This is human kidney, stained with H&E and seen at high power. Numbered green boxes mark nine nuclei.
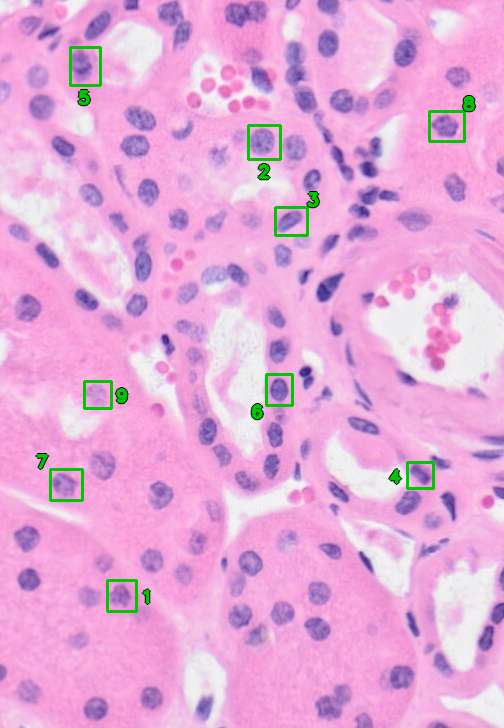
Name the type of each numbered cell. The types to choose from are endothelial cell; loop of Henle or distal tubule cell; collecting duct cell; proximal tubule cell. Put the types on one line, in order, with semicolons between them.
proximal tubule cell; collecting duct cell; collecting duct cell; collecting duct cell; collecting duct cell; collecting duct cell; proximal tubule cell; proximal tubule cell; proximal tubule cell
